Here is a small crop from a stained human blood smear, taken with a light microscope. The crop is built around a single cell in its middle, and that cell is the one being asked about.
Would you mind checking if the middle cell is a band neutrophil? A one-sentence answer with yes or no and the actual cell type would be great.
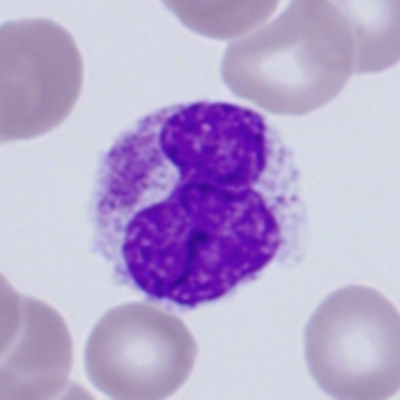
No, the cell at the centre is identified as an eosinophil, not as a band neutrophil.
